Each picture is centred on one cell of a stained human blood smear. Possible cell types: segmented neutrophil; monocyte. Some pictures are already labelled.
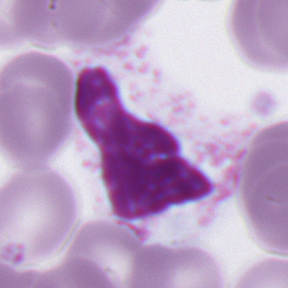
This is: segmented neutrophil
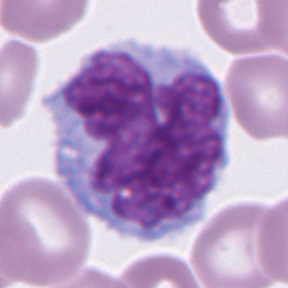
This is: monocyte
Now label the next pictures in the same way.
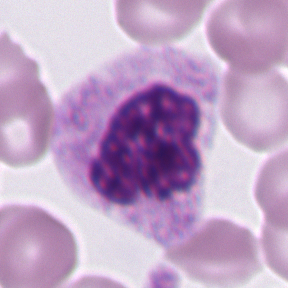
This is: segmented neutrophil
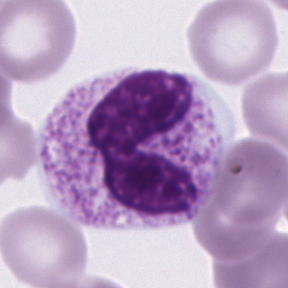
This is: segmented neutrophil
